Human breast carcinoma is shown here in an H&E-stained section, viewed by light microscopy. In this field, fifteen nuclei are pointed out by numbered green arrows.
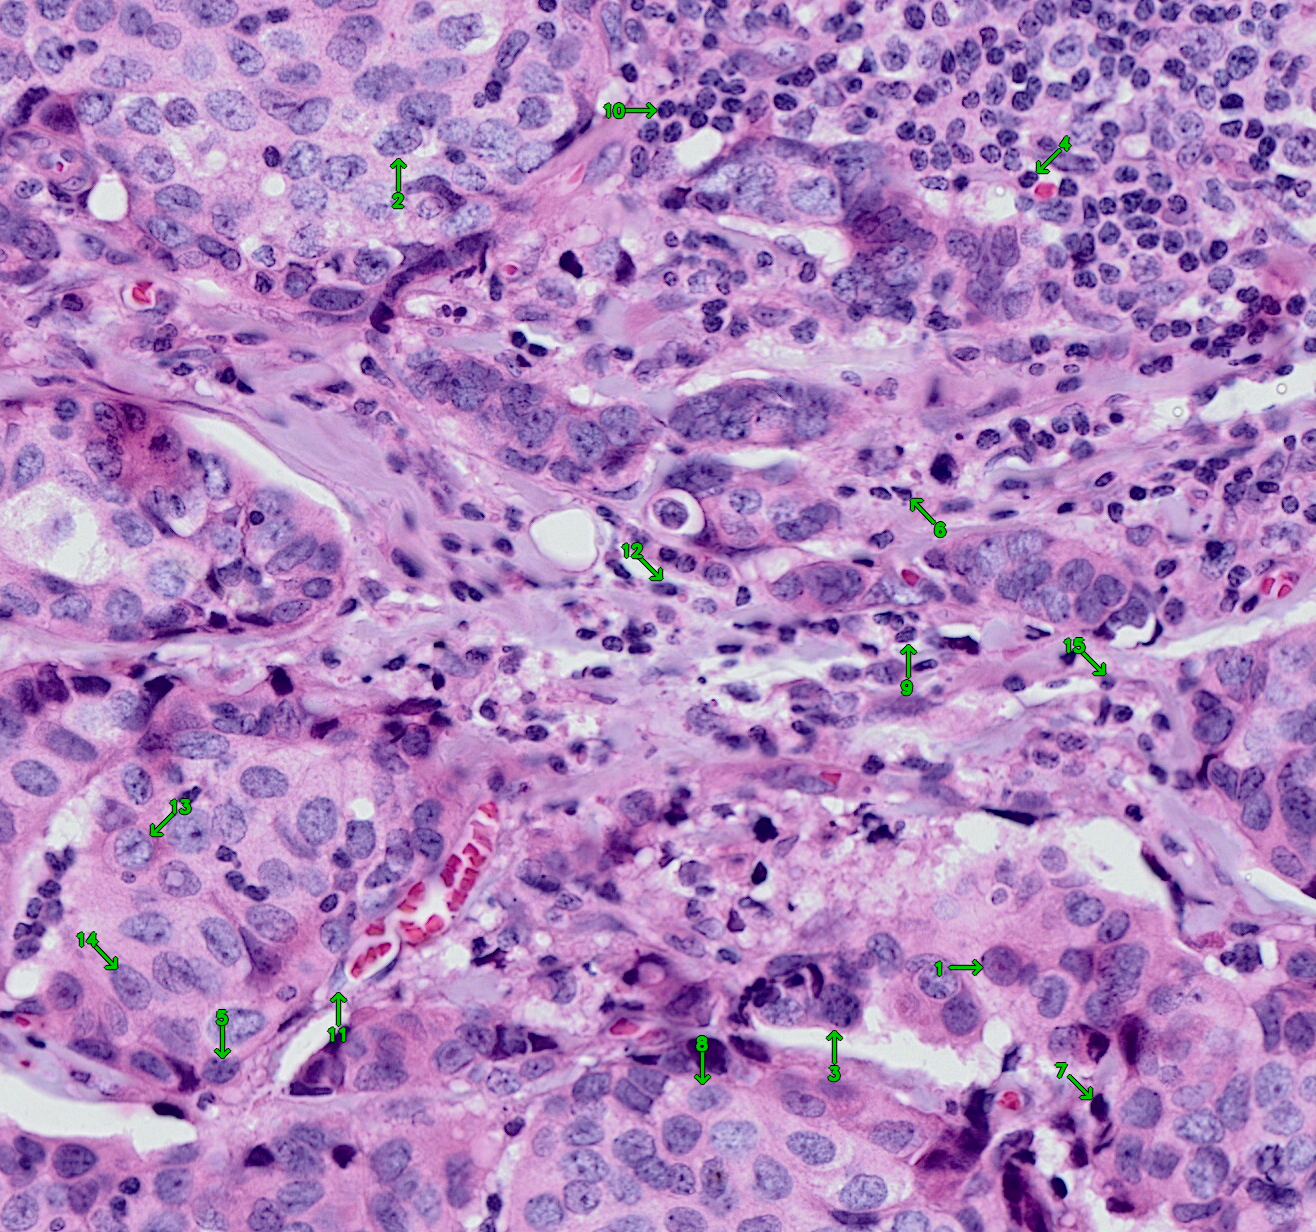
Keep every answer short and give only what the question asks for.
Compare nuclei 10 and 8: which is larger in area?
8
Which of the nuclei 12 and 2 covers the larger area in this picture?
2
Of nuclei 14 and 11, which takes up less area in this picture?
11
